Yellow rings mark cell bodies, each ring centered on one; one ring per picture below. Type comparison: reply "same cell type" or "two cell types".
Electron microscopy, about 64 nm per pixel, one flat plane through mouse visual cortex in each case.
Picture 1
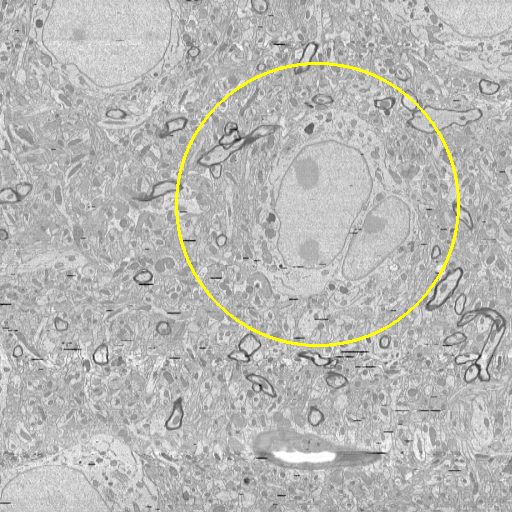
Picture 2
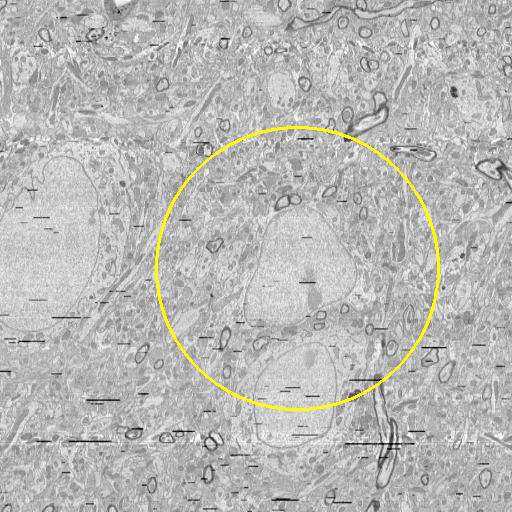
two cell types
